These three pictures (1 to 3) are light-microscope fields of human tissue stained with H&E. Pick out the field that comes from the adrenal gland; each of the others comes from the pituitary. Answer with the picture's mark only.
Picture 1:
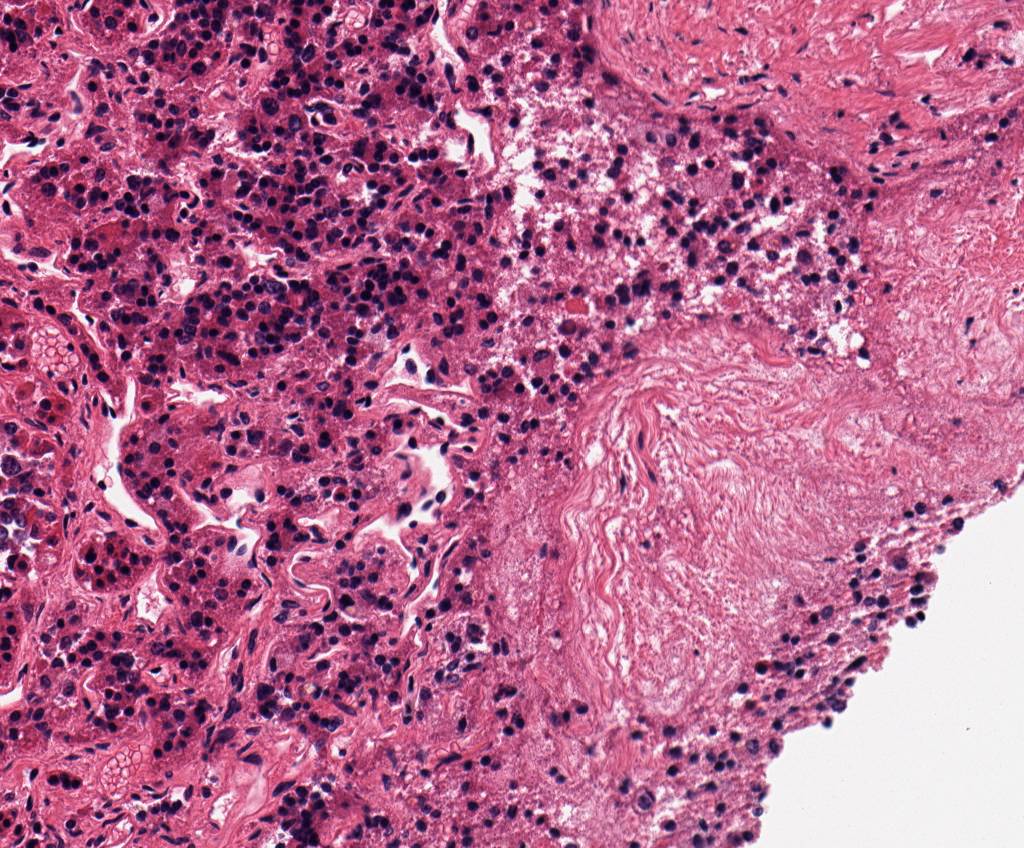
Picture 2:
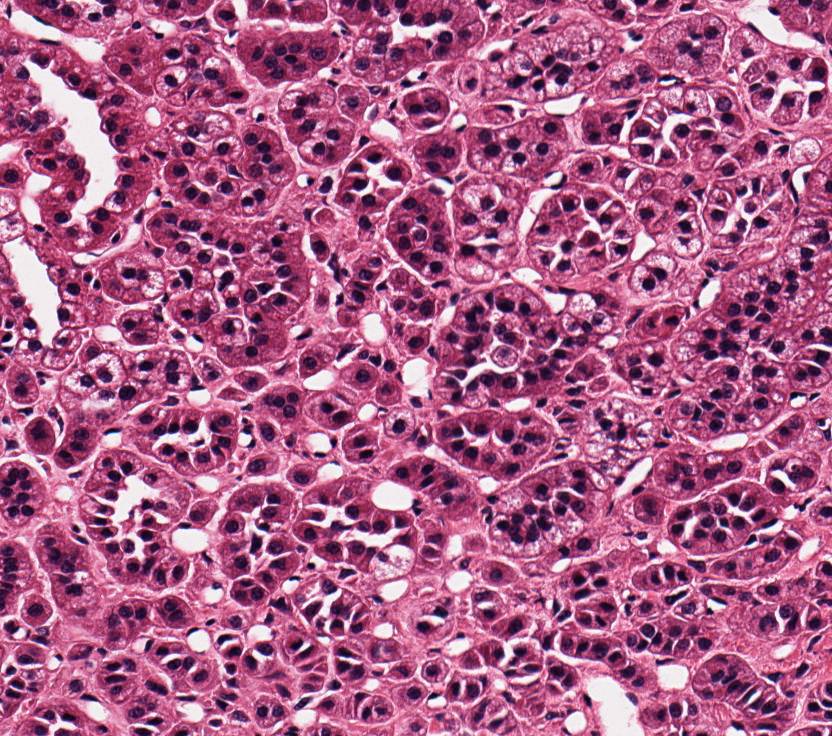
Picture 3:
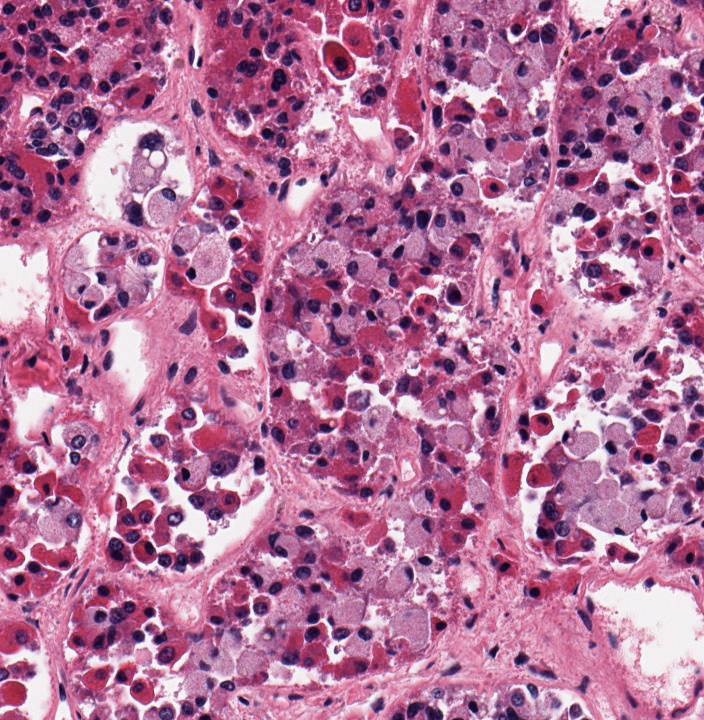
2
